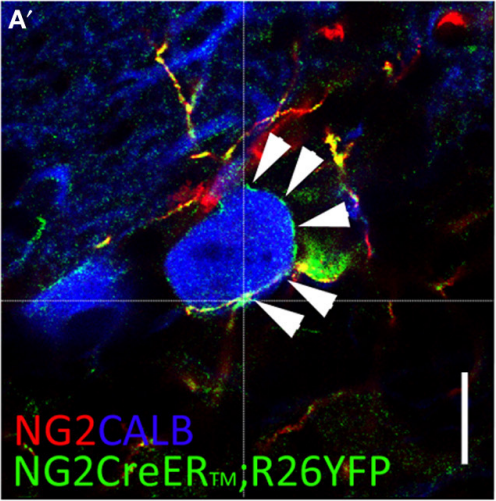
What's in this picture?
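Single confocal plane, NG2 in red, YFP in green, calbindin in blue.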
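A smaller green cell lies tucked against its right side. Thin green, yellow and red processes run closely along the rim of the Purkinje soma, outlining much of its circumference. Other short beaded processes are scattered in the neuropil above.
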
